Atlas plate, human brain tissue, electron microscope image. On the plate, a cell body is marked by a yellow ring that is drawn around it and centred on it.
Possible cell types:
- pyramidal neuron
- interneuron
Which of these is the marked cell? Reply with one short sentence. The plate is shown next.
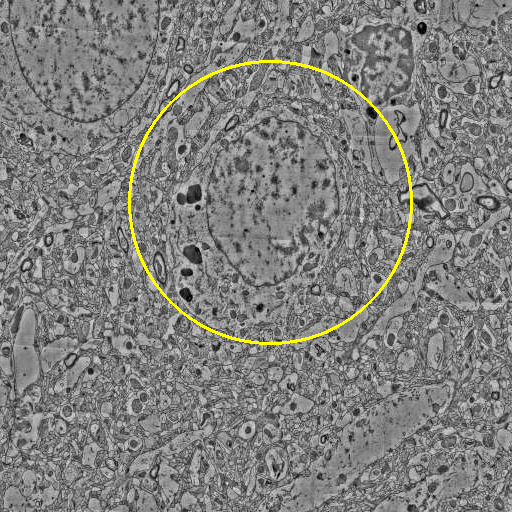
The marked cell is an interneuron.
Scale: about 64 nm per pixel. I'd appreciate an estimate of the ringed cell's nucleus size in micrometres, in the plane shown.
In this plane, roughly 11 by 9 micrometres.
